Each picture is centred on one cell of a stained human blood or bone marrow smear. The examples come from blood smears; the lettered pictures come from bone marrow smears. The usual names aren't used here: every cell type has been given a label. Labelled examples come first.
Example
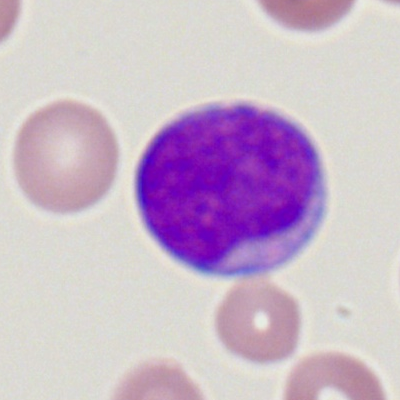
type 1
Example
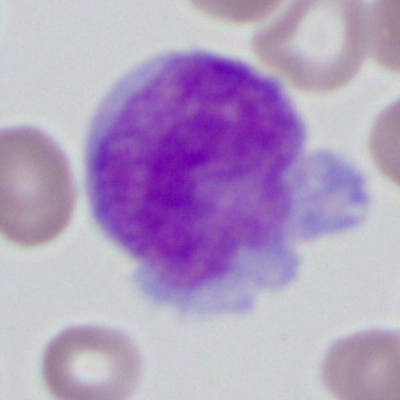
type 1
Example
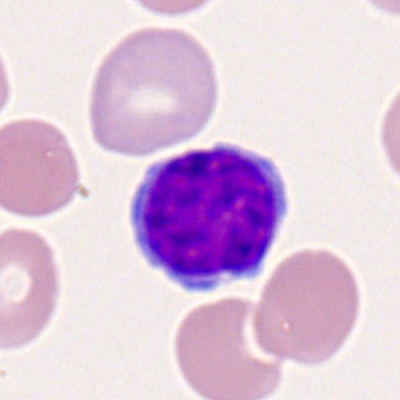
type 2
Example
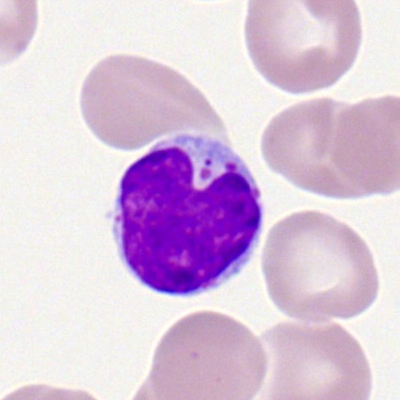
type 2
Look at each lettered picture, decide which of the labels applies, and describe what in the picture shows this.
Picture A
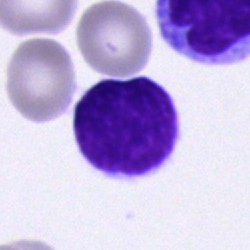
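type 2. Reason: The chromatin is dense, dark purple and coarsely clumped.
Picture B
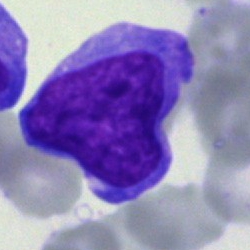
type 1. Reason: The chromatin is finely textured with scattered darker patches rather than coarse clumps.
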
